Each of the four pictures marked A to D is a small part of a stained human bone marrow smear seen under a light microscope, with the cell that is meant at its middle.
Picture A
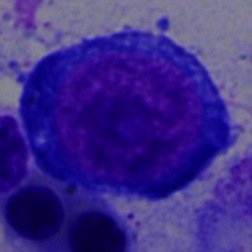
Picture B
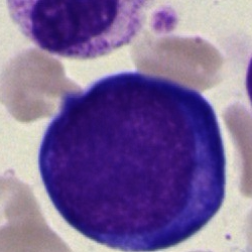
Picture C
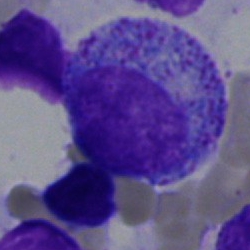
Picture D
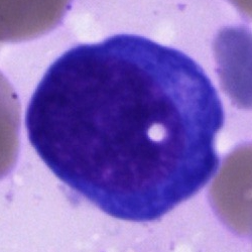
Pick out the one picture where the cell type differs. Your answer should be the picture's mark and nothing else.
C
